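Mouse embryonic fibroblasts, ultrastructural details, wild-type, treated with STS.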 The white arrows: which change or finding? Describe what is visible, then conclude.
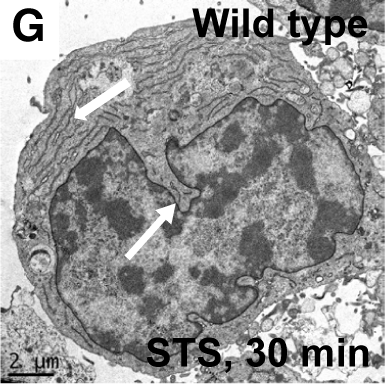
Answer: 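Nuclear deformations. The nuclear envelope folds deeply inward where the lower arrow points. The nuclear outline is irregular rather than smooth and oval.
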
